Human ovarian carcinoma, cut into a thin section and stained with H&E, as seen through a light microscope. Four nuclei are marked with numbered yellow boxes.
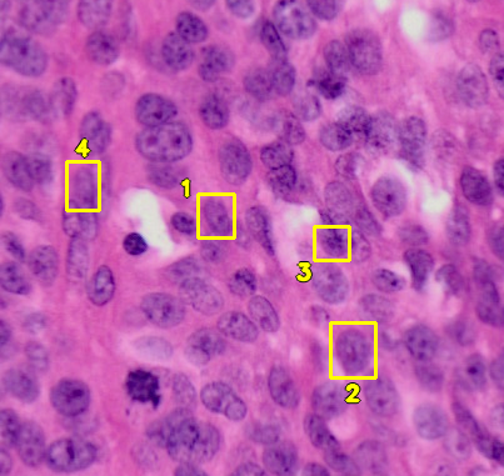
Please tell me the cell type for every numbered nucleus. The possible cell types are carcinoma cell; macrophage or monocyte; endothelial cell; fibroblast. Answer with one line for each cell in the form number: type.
1: carcinoma cell
2: carcinoma cell
3: carcinoma cell
4: endothelial cell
